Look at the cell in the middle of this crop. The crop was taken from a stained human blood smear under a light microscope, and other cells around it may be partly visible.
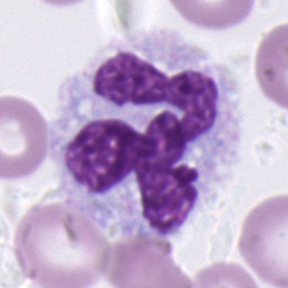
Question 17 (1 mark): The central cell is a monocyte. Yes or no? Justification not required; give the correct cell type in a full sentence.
Yes, the cell at the middle of the frame is a monocyte.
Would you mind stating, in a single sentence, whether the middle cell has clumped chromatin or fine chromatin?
Take a look at the chromatin, which is coarsely clumped.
